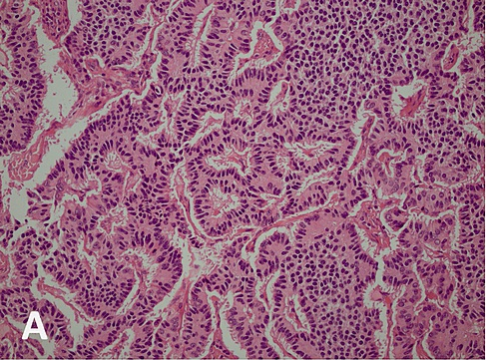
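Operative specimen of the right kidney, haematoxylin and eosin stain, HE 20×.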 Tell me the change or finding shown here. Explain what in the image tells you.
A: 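Well-differentiated neuroendocrine tumour. Sheets of fairly uniform cells with round to oval nuclei. Cells form trabeculae and rosette-like groups with delicate vascular stroma between them.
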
